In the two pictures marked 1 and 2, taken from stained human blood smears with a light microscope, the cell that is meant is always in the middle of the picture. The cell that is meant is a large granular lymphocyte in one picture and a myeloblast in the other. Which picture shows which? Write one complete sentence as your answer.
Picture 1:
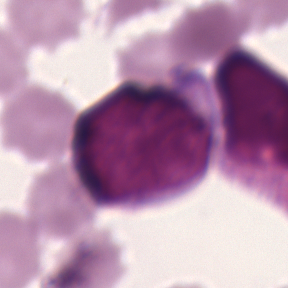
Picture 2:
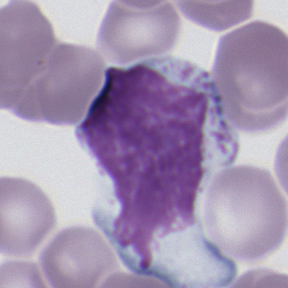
In picture 1 the cell is a myeloblast; in picture 2, a large granular lymphocyte.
